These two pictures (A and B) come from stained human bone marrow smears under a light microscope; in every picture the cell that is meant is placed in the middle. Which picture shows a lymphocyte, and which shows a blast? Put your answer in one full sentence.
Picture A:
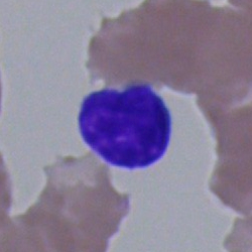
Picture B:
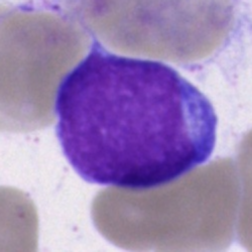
The cell in picture A is a lymphocyte, and the one in picture B is a blast.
